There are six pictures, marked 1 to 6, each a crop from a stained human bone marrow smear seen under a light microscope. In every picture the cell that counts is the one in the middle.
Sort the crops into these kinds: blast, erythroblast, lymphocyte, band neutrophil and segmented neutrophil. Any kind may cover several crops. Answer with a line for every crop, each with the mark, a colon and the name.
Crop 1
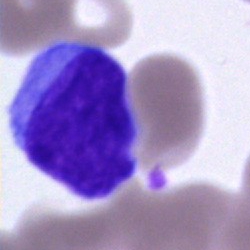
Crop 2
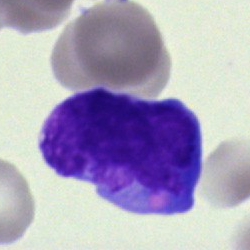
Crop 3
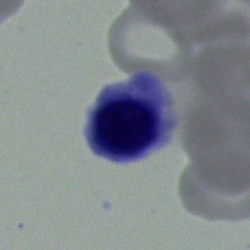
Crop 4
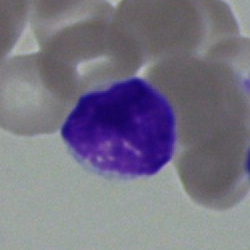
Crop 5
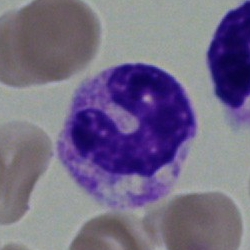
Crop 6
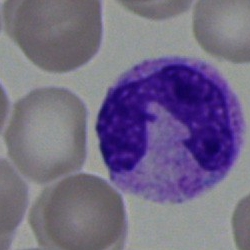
1: blast
2: blast
3: erythroblast
4: lymphocyte
5: band neutrophil
6: band neutrophil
